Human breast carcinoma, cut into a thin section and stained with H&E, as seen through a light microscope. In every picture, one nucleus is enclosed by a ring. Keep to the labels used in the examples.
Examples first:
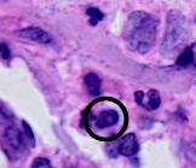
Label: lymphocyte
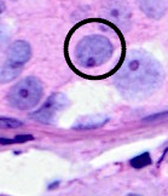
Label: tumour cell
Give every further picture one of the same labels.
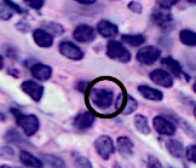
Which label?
lymphocyte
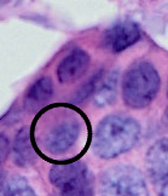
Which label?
tumour cell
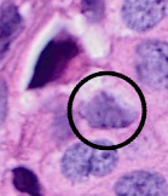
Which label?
tumour cell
